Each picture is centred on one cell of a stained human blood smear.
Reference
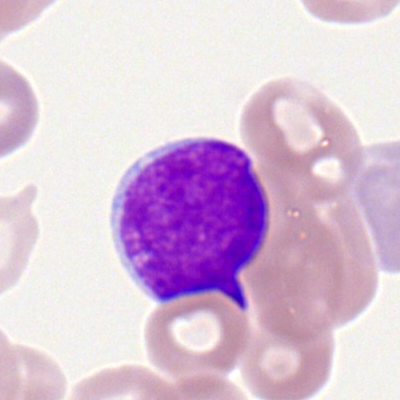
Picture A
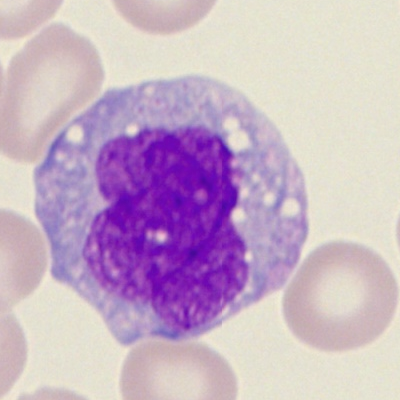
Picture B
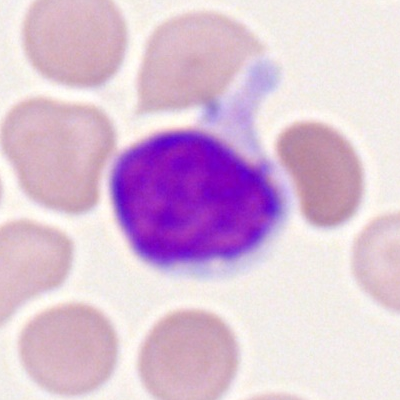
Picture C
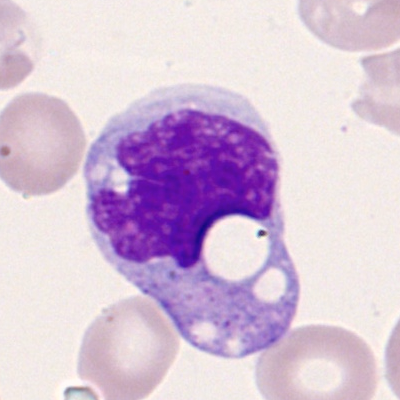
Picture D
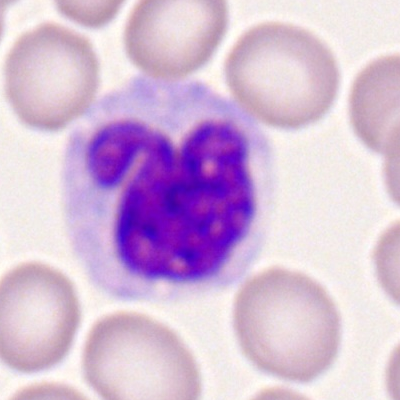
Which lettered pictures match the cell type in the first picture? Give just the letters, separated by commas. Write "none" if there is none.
none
